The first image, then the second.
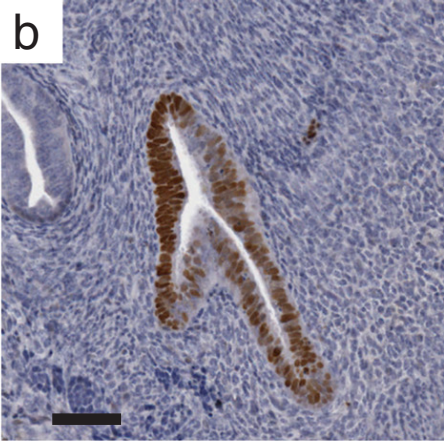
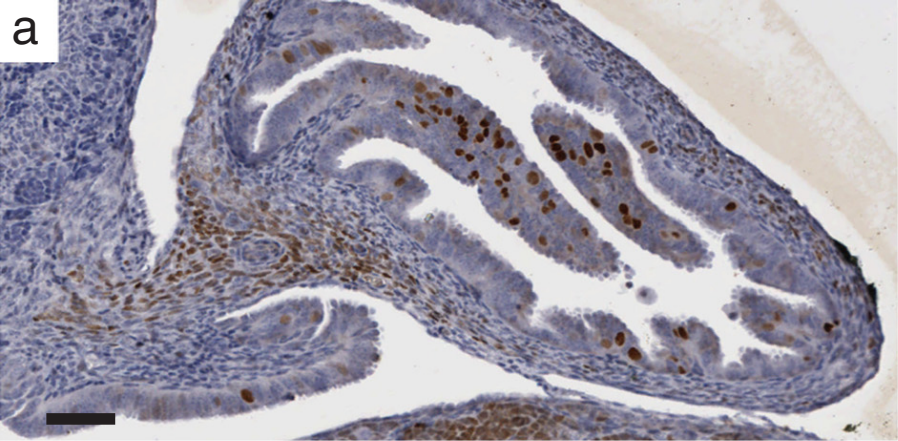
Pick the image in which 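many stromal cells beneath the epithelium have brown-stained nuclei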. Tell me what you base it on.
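Second image: the stroma at the base of the folds, lower left, contains many cells with brown nuclei. On this evidence: the second image.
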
